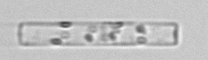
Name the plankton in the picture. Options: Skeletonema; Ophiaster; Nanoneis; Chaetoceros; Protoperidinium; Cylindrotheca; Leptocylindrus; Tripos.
Leptocylindrus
